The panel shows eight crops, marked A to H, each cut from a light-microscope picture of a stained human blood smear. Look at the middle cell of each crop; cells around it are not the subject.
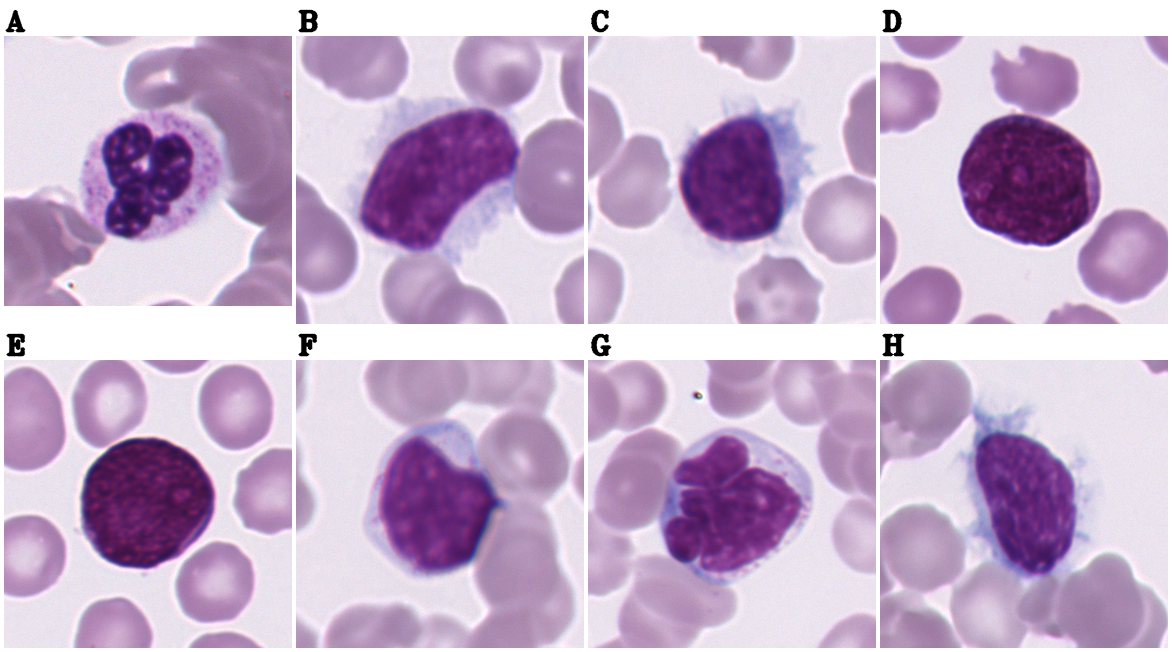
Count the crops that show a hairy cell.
3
